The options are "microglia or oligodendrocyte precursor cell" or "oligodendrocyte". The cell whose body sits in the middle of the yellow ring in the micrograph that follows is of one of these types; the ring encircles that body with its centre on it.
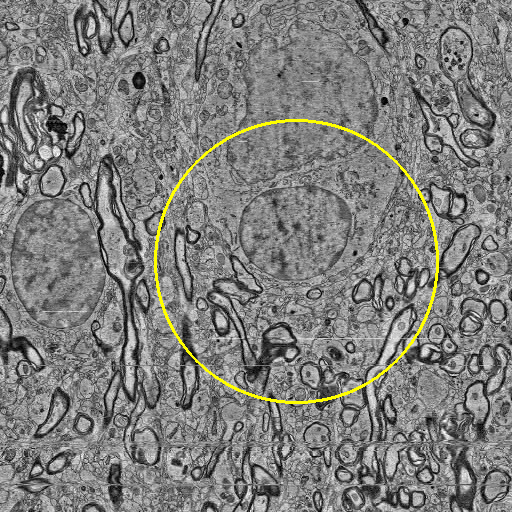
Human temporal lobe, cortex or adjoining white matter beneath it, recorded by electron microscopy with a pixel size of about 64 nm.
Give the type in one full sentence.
Going by the micrograph, the cell centred in the yellow ring is a microglial cell or oligodendrocyte precursor cell.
